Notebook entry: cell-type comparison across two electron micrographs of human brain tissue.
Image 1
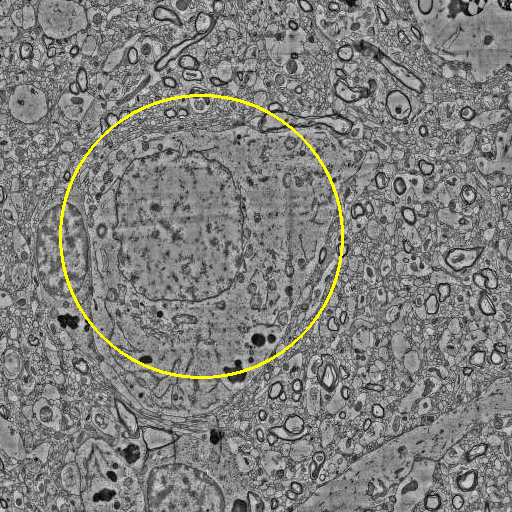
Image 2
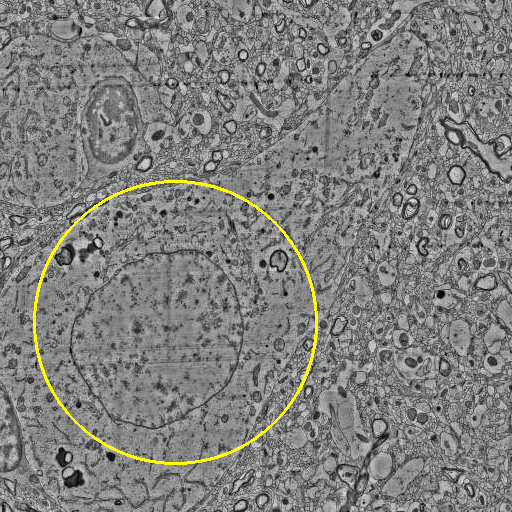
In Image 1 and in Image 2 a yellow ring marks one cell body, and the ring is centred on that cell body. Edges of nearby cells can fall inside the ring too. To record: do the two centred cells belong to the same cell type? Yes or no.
yes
